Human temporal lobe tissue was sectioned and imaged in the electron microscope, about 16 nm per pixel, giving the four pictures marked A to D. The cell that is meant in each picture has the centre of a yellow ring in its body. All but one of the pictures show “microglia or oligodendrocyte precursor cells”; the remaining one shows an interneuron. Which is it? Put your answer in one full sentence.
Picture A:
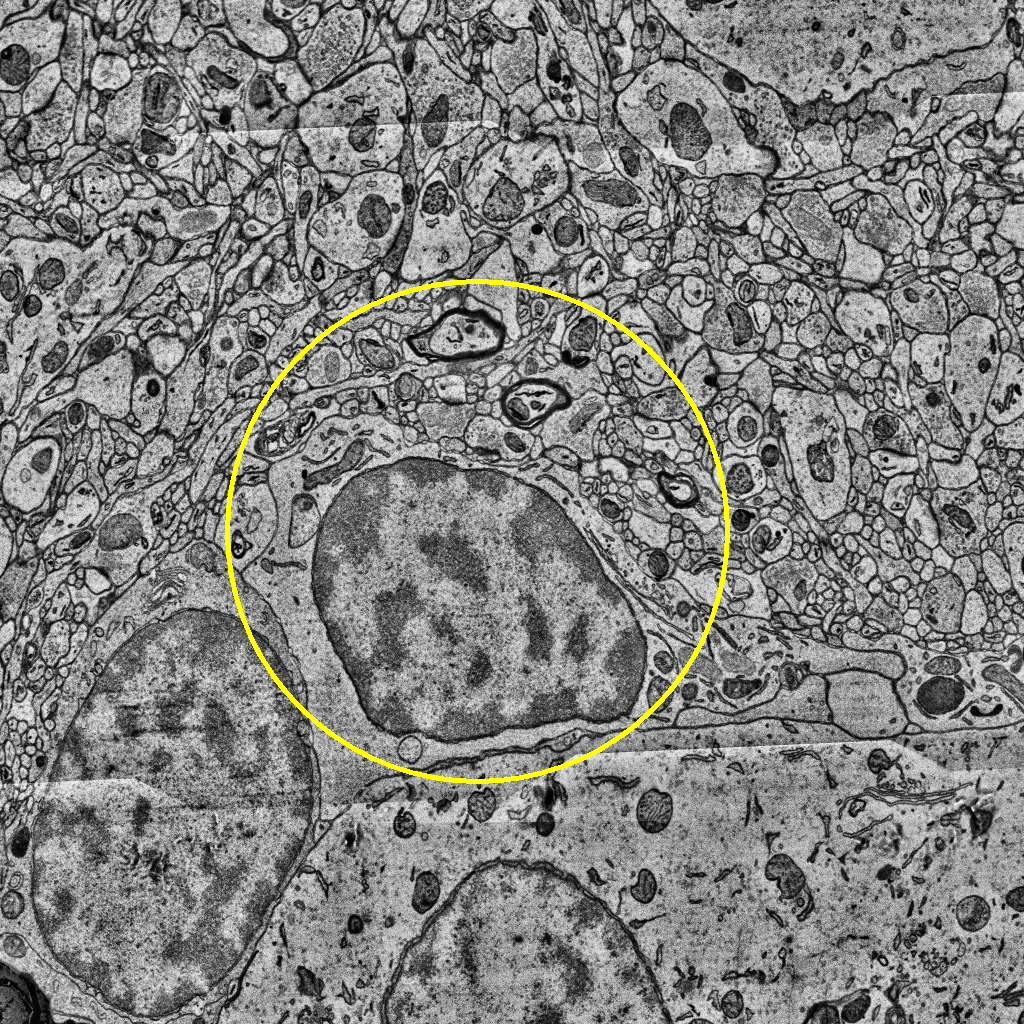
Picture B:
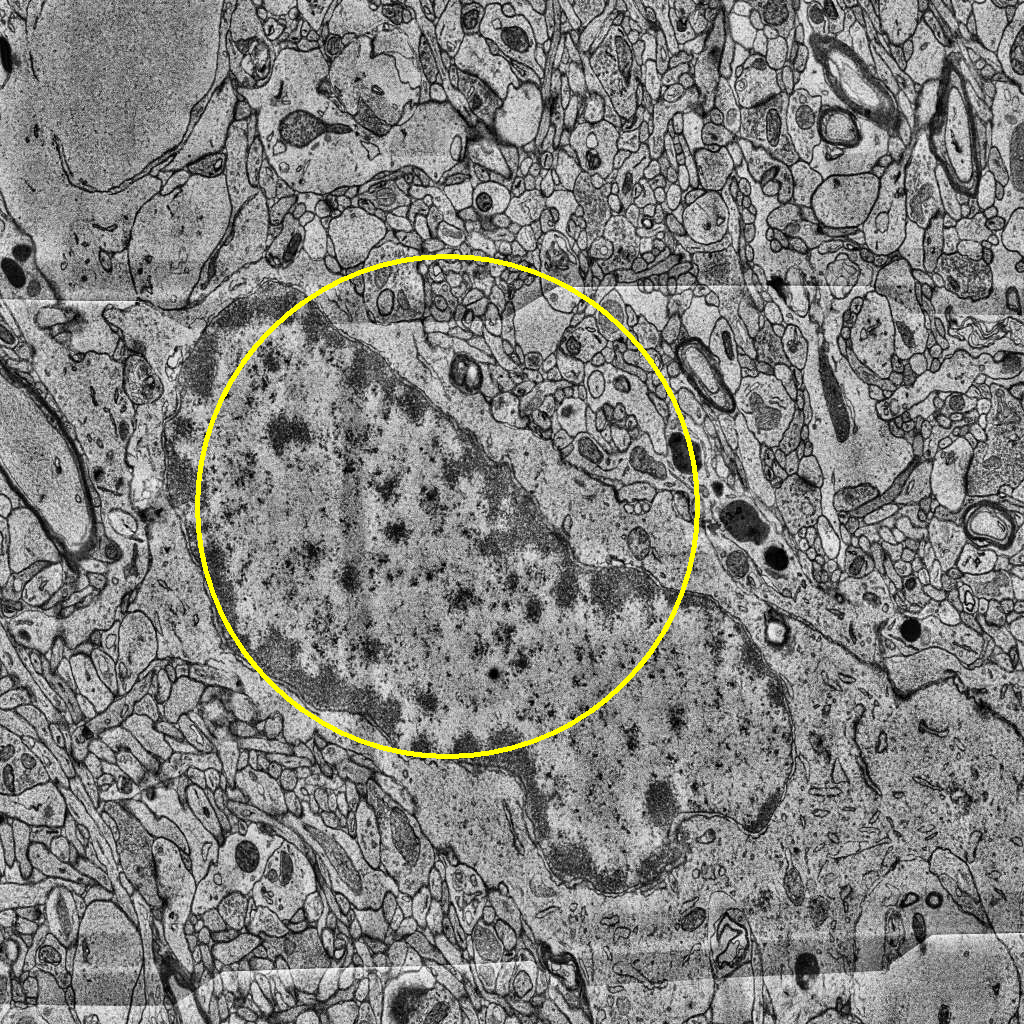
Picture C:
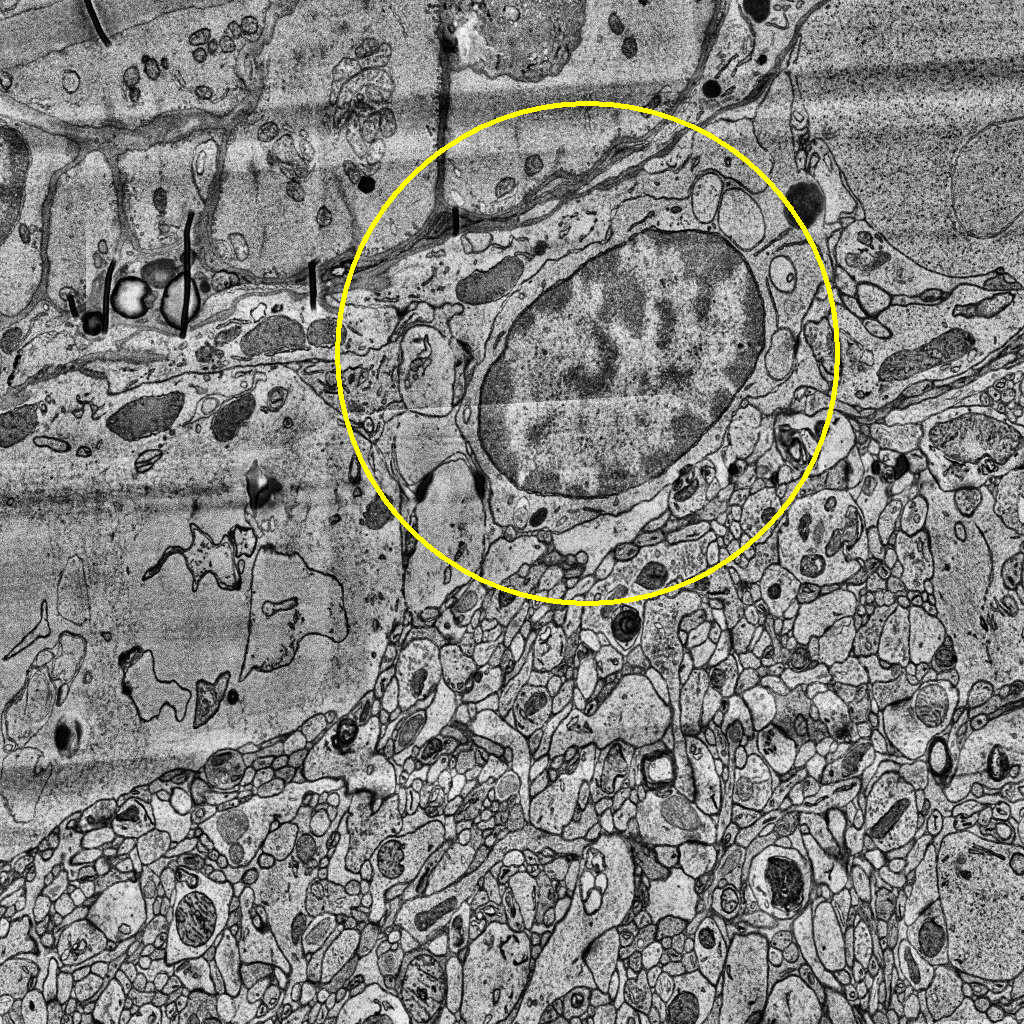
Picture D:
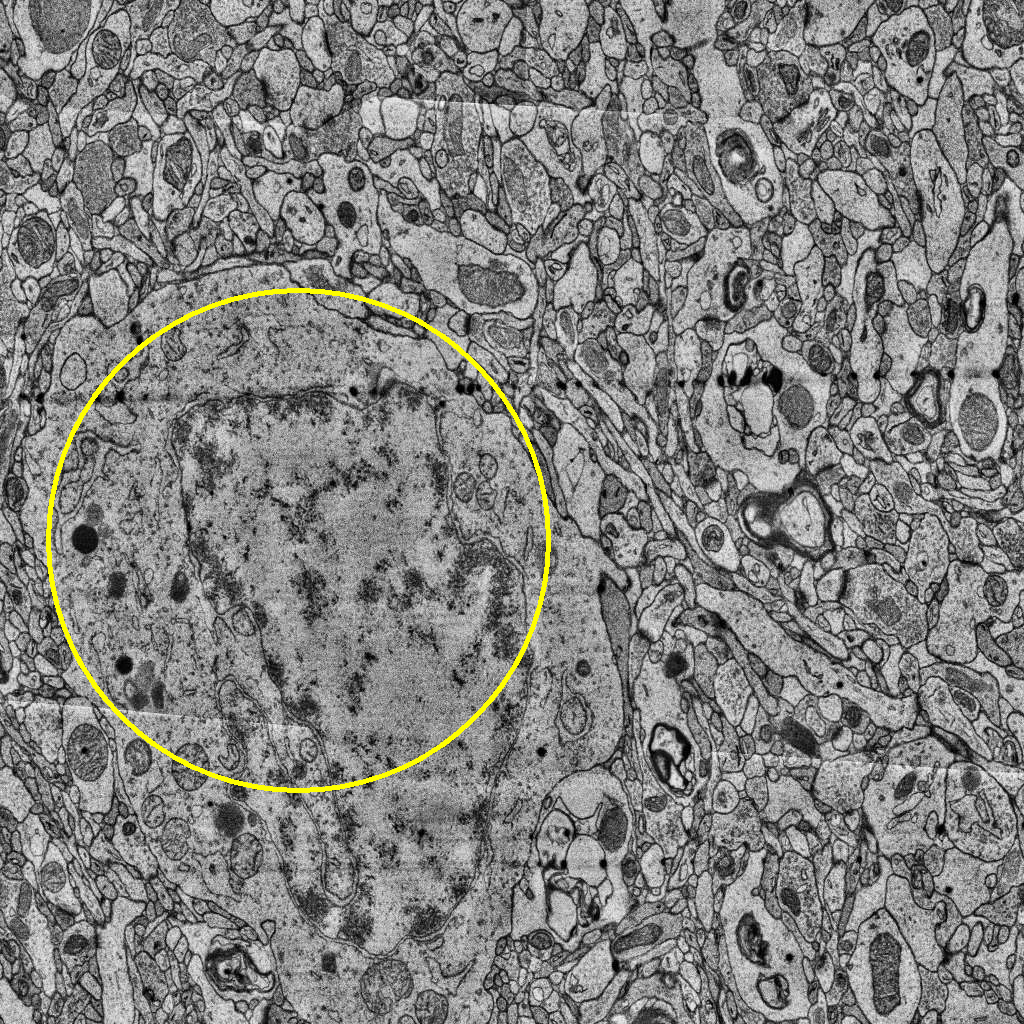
It is picture D that shows the interneuron.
